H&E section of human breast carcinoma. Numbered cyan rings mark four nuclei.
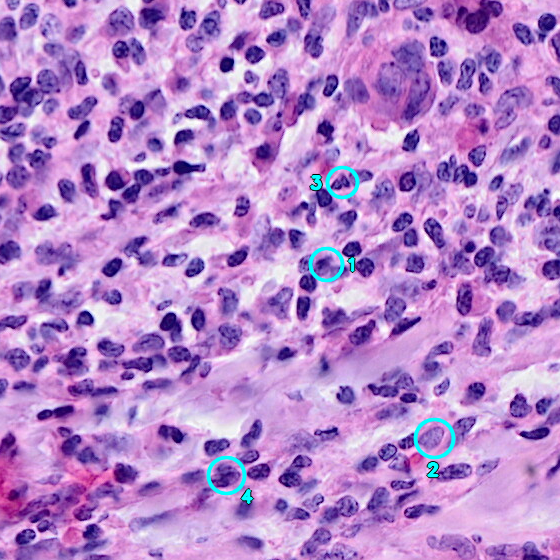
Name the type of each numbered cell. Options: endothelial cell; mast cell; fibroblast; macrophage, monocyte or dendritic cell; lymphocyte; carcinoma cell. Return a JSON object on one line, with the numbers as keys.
{"1": "lymphocyte", "2": "endothelial cell", "3": "lymphocyte", "4": "lymphocyte"}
